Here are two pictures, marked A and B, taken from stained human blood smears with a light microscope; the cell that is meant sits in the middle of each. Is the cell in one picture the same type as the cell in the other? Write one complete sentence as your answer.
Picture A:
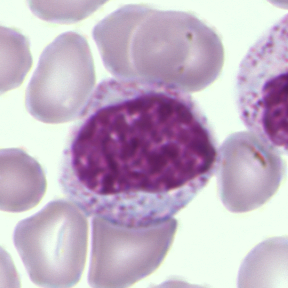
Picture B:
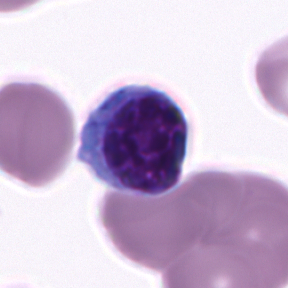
No, picture A shows a metamyelocyte and picture B shows a plasma cell.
